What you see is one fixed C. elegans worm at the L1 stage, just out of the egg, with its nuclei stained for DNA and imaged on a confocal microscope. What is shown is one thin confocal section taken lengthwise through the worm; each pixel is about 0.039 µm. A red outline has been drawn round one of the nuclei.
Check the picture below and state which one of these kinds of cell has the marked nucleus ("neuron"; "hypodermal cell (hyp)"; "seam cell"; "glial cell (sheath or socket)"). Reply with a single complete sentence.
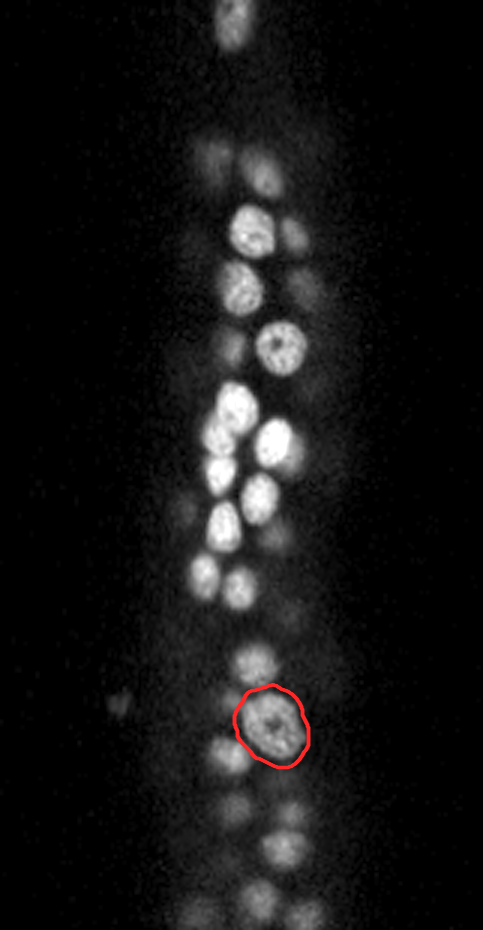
The marked cell is a seam cell.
